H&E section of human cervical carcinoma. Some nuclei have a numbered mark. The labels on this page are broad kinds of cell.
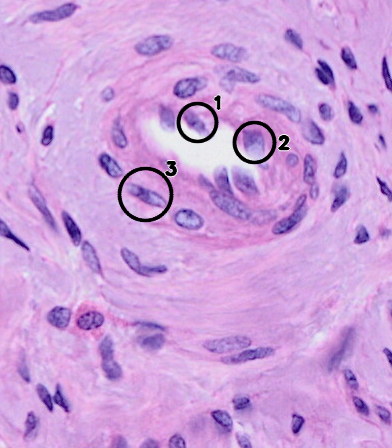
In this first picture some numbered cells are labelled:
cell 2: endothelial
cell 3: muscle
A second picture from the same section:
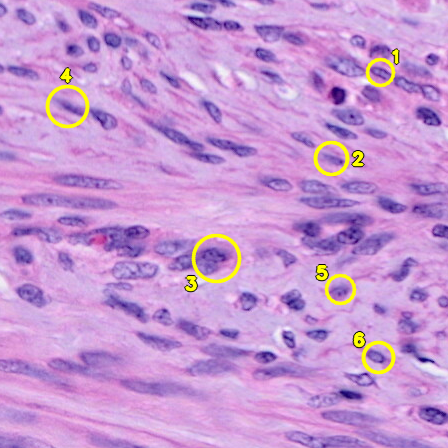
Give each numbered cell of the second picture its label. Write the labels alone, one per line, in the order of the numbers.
endothelial
muscle
endothelial
muscle
muscle
muscle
